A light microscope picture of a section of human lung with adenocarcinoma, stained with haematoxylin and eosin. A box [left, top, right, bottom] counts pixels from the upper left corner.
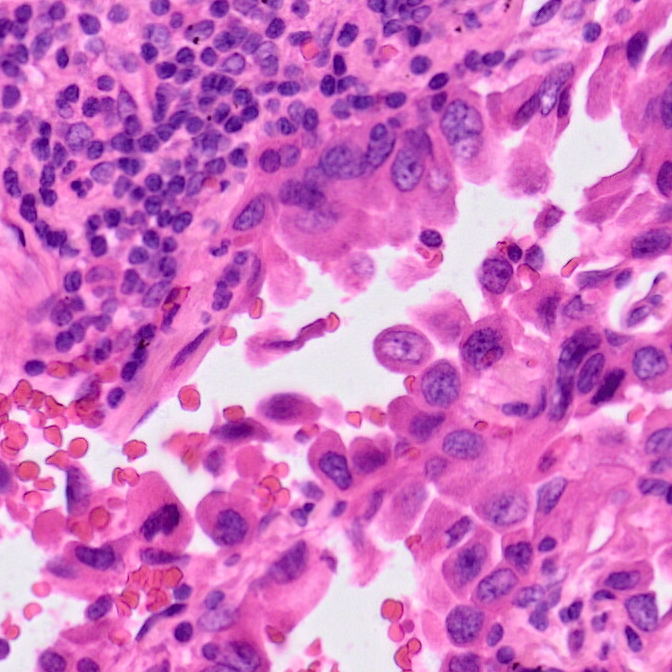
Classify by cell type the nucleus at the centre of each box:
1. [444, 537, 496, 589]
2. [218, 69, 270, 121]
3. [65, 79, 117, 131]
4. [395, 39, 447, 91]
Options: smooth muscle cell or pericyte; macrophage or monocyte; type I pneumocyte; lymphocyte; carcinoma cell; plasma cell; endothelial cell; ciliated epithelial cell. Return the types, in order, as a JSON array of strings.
["carcinoma cell", "lymphocyte", "lymphocyte", "lymphocyte"]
